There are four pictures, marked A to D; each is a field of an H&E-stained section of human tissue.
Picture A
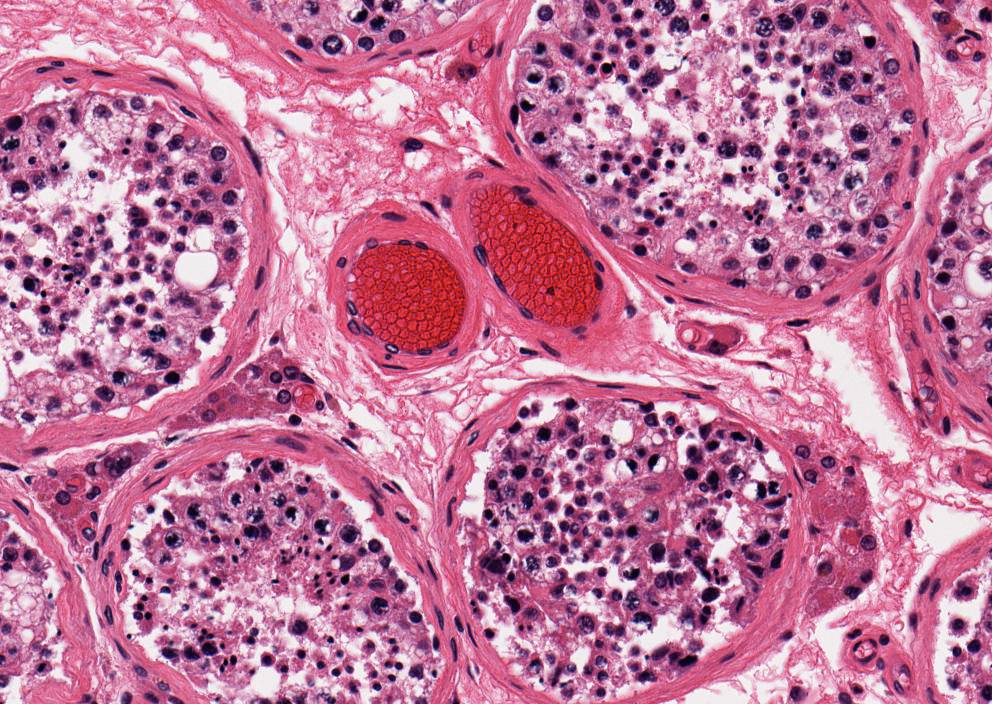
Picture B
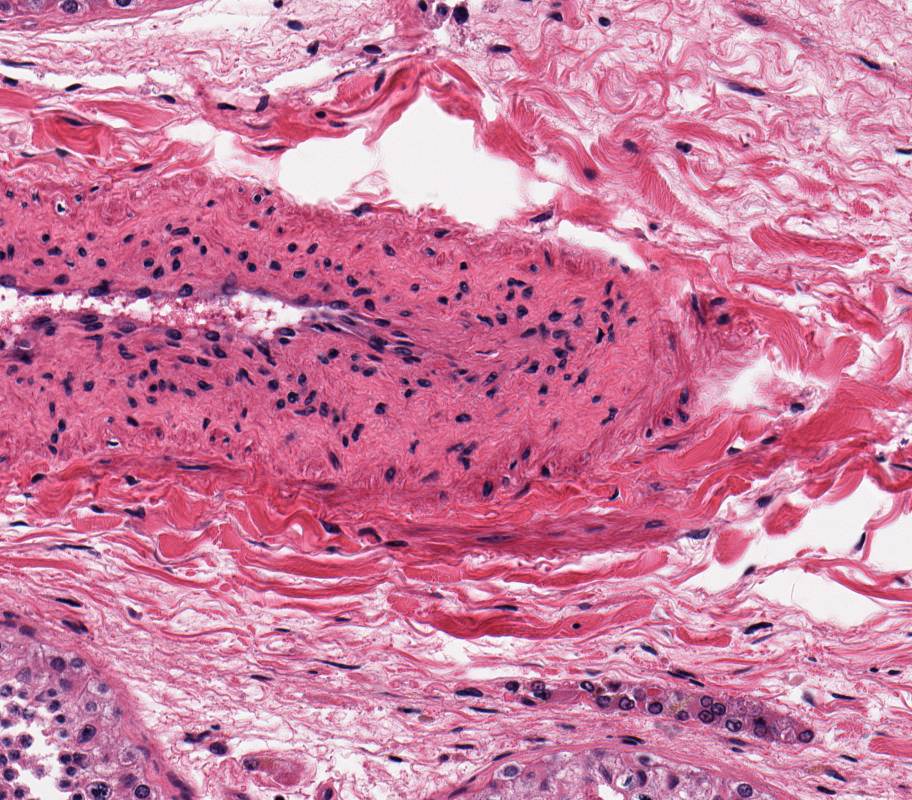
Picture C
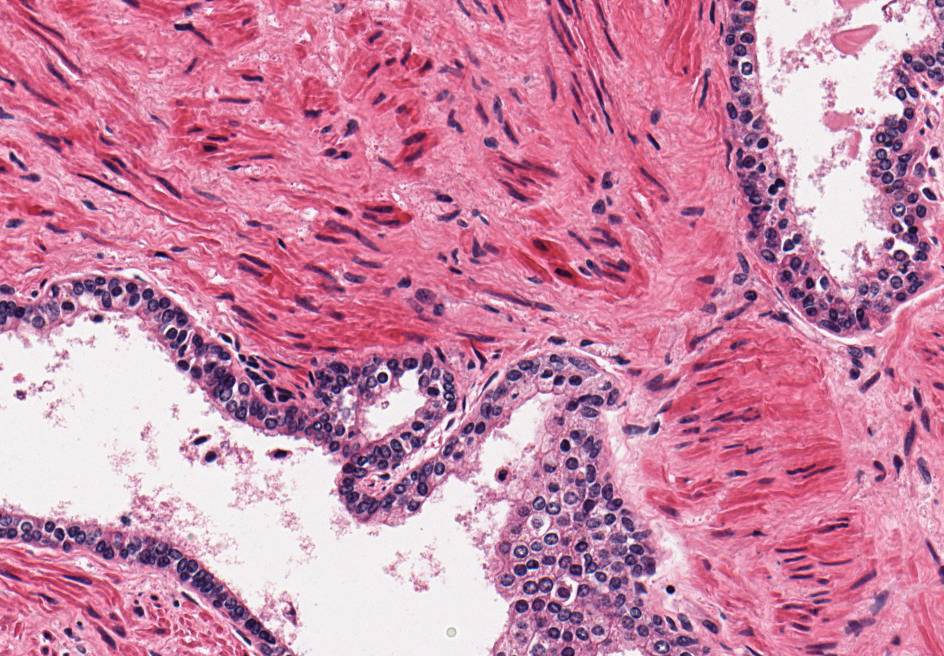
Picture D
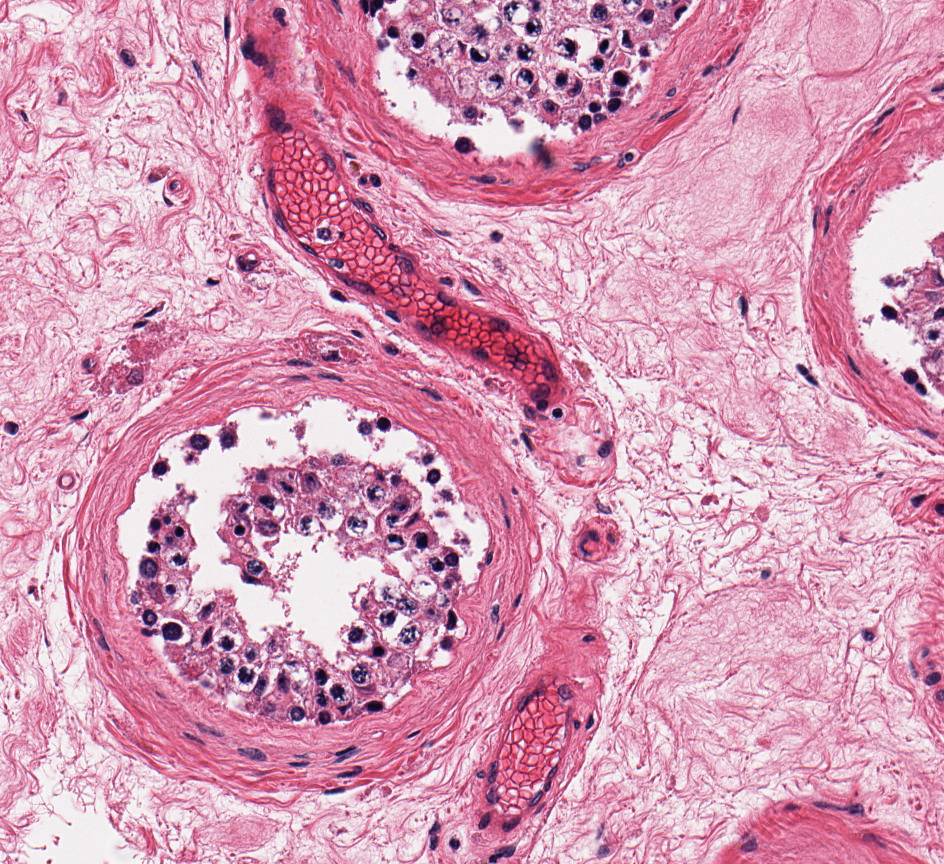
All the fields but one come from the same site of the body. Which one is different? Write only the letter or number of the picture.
C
